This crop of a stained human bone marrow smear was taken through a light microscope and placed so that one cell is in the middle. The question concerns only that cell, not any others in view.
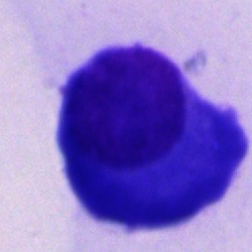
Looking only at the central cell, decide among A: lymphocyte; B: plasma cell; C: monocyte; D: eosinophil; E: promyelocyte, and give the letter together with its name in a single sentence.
Option B is the right choice, the central cell being a plasma cell.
